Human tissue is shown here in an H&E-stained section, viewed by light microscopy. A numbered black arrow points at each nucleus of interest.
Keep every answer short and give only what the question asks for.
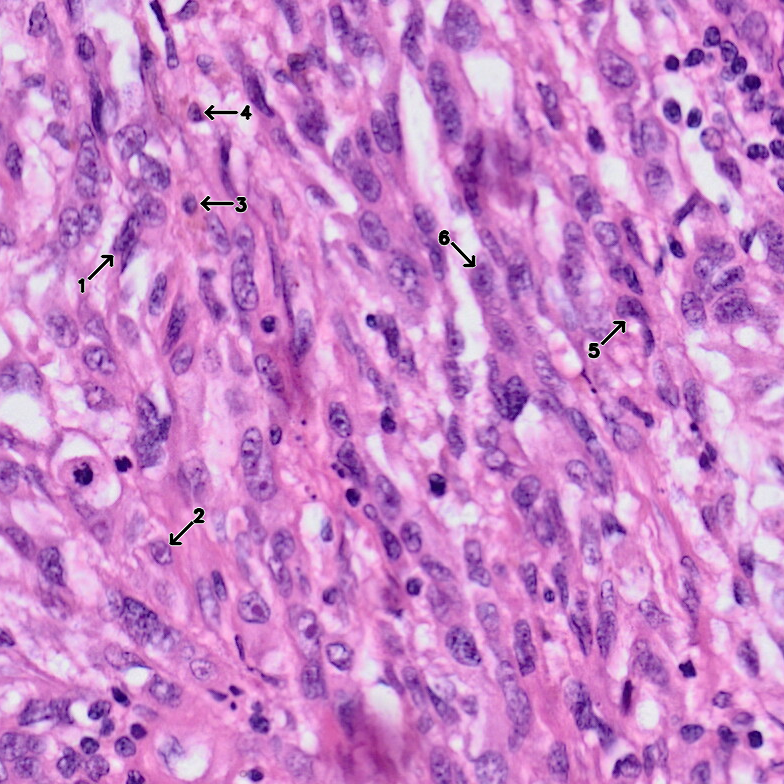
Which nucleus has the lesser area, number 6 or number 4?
4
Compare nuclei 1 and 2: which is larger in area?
1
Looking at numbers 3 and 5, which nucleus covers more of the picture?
5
